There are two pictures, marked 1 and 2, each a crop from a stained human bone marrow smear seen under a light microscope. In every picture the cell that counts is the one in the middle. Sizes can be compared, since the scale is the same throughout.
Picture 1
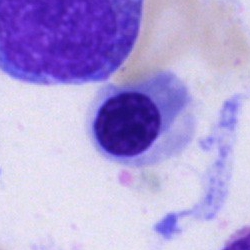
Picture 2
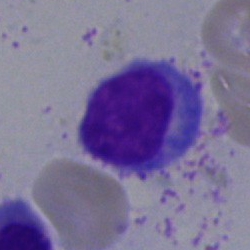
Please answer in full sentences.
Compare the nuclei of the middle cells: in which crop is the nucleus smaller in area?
Picture 1 shows the smaller nucleus, since that in picture 2 covers about 2 times as much area.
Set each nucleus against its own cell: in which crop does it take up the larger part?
Of the two, the nucleus in picture 2 makes up the greater part of its cell.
